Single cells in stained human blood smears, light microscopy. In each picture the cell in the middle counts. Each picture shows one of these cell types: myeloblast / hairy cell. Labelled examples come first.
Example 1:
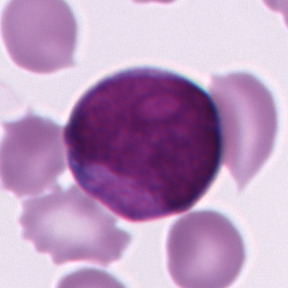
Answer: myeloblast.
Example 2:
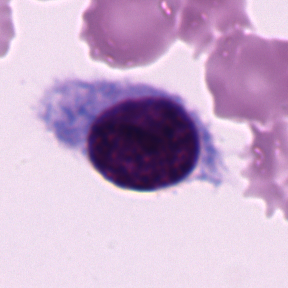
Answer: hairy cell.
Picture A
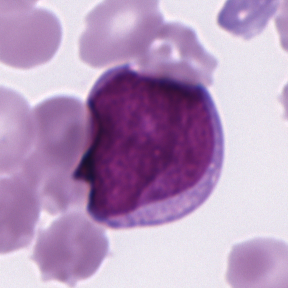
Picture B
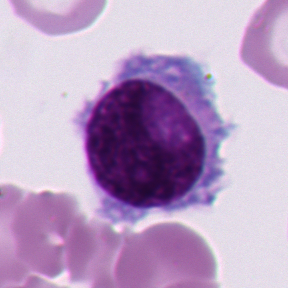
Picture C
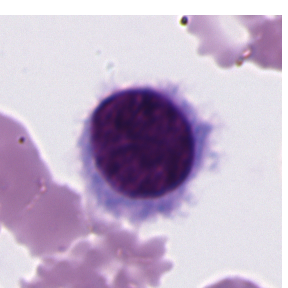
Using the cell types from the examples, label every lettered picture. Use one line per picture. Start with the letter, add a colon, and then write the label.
A: myeloblast.
B: hairy cell.
C: hairy cell.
